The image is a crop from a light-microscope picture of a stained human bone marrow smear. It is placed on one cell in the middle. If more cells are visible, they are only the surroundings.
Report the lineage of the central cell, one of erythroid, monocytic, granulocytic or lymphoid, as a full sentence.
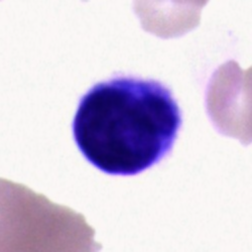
The cell at the center of the crop derives from the lymphoid lineage.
